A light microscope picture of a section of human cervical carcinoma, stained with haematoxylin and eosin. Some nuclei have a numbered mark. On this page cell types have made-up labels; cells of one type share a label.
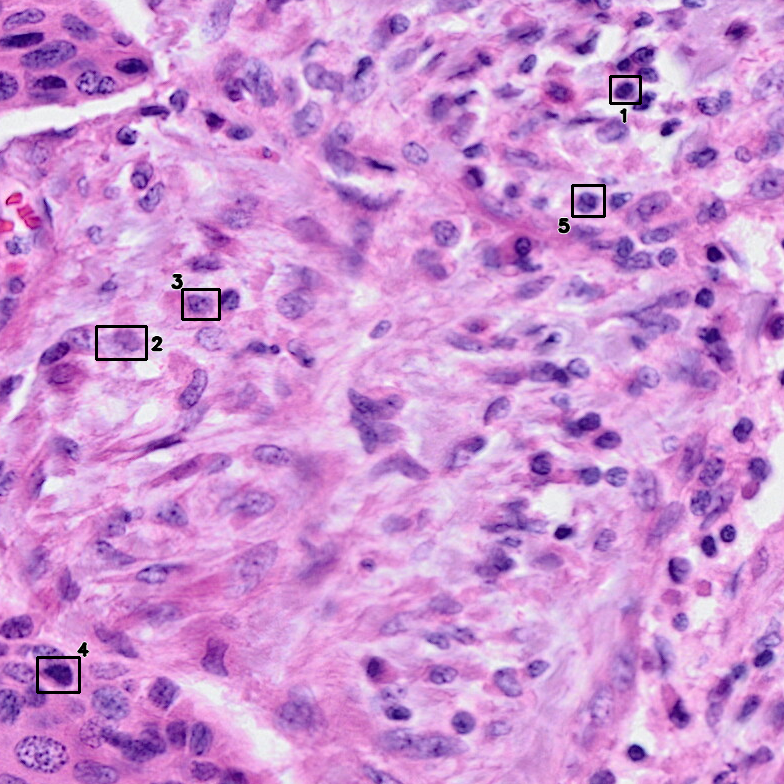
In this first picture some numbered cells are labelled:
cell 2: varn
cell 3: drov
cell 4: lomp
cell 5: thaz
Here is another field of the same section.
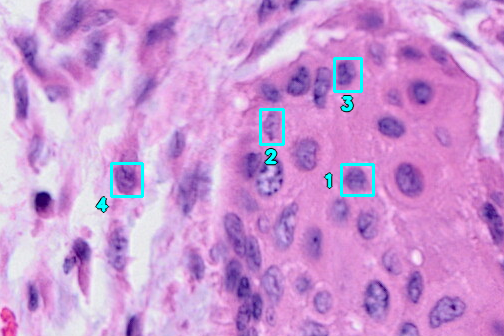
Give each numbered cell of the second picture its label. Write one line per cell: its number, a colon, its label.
1: lomp
2: lomp
3: lomp
4: drov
